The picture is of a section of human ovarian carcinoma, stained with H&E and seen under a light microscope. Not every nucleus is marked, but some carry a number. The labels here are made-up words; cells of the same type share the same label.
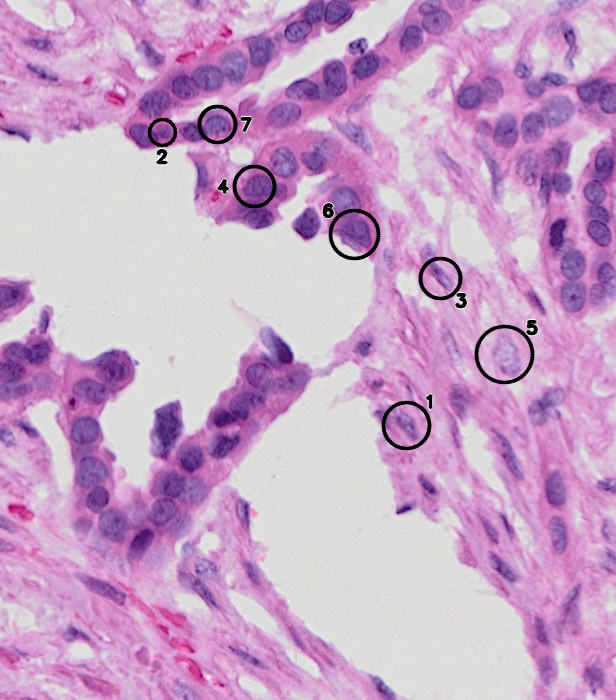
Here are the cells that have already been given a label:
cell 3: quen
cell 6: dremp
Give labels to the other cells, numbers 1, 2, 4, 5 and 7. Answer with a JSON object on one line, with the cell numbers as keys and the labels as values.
{"1": "quen", "2": "dremp", "4": "dremp", "5": "quen", "7": "dremp"}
